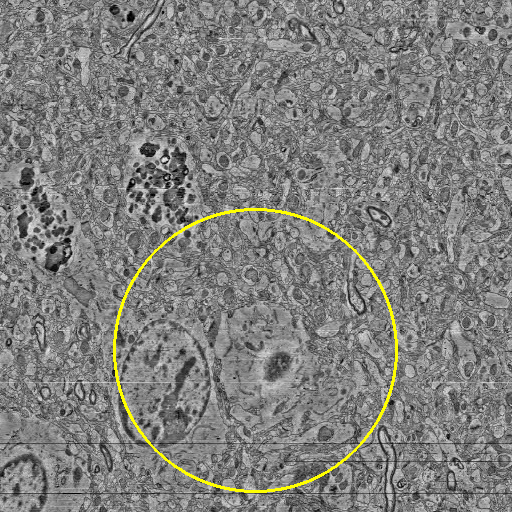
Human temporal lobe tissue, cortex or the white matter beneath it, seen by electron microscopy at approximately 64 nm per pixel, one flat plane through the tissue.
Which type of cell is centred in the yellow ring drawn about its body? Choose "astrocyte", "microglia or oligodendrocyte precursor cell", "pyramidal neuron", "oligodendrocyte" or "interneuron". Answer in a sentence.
The yellow ring surrounds the cell body of an astrocyte.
